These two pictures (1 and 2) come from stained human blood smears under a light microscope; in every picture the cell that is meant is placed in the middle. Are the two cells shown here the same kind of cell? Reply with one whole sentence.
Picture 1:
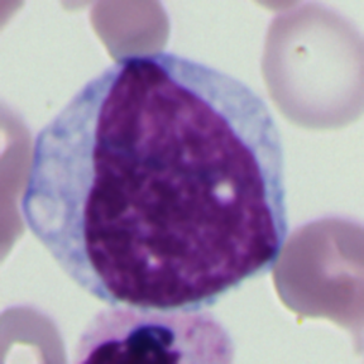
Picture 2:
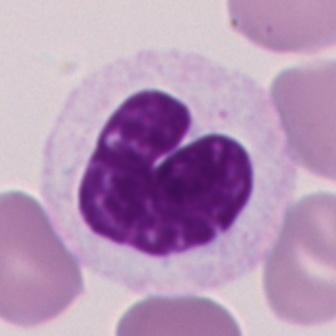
No; the cell in picture 1 is a monocyte, while the one in picture 2 is a band neutrophil.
